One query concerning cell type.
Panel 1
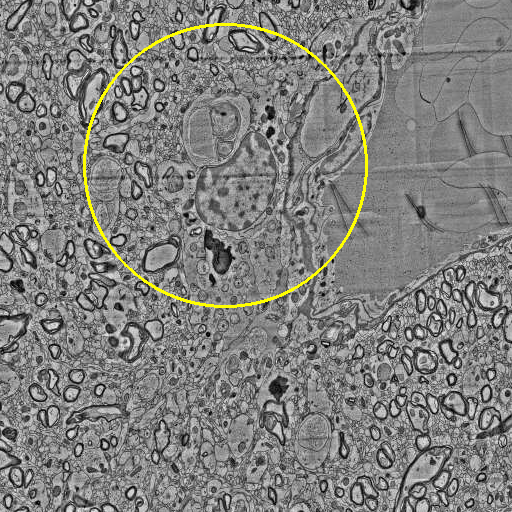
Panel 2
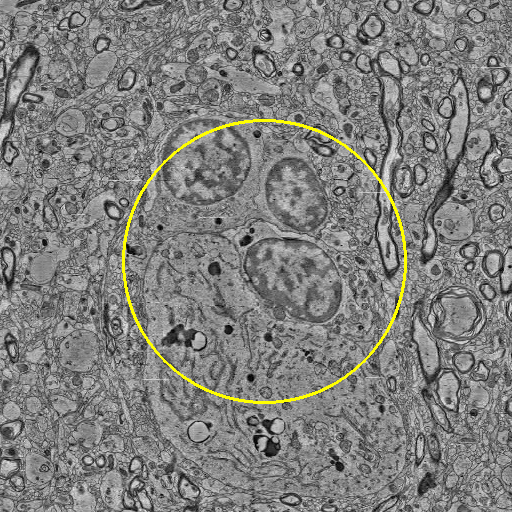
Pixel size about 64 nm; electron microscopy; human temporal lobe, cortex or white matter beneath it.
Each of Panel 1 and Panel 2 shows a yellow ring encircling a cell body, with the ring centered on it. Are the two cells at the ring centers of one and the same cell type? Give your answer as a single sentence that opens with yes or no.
Yes, the cell centered in Panel 1 and the one in Panel 2 share a type.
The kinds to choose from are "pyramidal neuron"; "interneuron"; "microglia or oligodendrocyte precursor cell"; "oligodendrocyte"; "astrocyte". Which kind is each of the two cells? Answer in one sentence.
Each of the two rings is centred on a microglial cell or oligodendrocyte precursor cell.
